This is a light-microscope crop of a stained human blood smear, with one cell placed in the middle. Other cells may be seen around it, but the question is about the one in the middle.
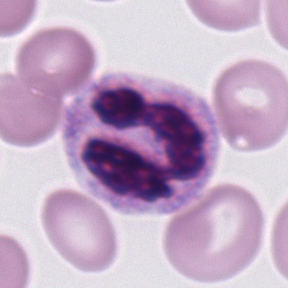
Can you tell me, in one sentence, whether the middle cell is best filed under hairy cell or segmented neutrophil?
The middle of this crop is occupied by a segmented neutrophil.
